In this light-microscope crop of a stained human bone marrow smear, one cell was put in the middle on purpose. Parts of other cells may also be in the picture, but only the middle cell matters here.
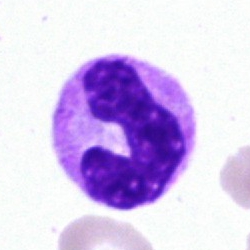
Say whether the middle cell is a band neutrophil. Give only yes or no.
yes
